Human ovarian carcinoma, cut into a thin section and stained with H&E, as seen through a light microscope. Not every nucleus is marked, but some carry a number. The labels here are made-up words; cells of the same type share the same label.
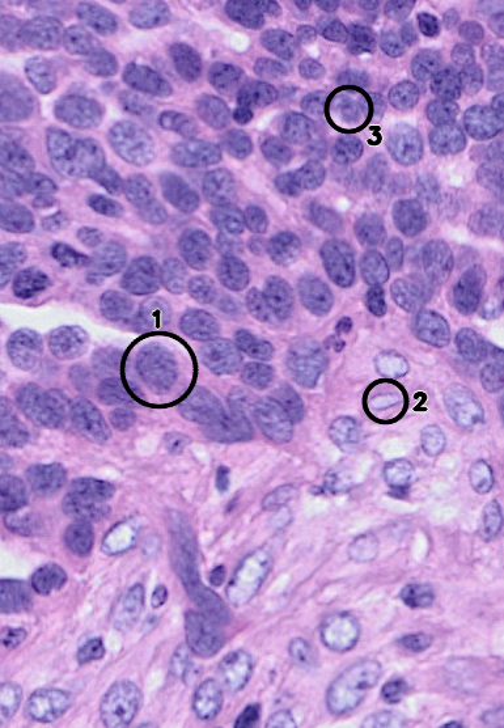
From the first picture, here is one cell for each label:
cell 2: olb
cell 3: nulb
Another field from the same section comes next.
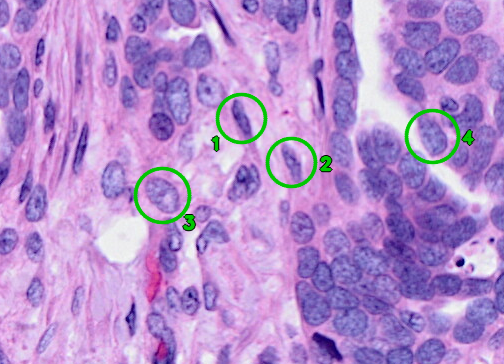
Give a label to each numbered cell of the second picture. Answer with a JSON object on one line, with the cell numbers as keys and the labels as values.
{"1": "olb", "2": "olb", "3": "olb", "4": "nulb"}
